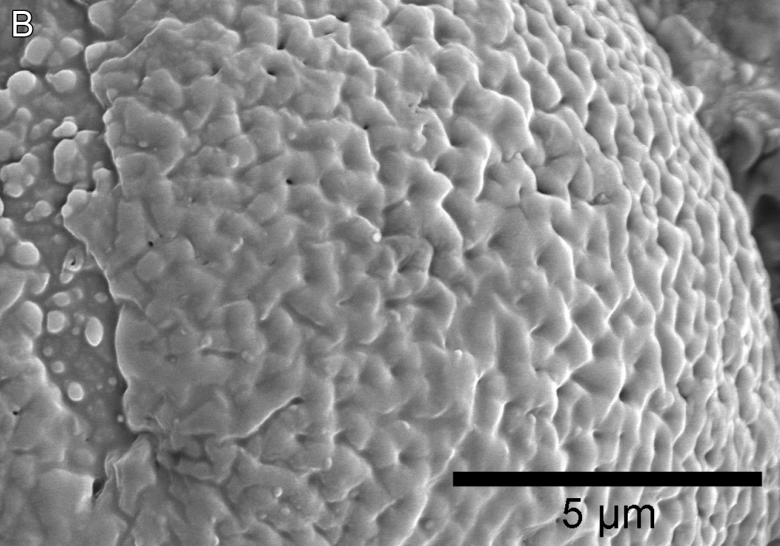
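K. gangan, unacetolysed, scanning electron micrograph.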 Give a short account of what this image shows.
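A close view of the curved wall of a pollen grain shows its surface sculpturing. Densely packed, irregular low elevations are separated by small pits and narrow furrows. Toward the left edge the surface changes to a patch with scattered, separate rounded granules.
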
